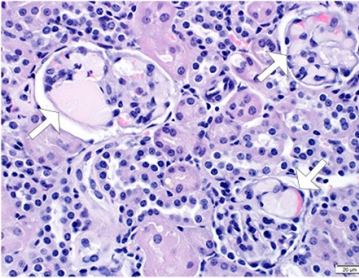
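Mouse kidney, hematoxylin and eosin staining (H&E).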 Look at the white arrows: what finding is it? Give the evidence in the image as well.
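The arrows point at round glomerular structures. The space around the tufts is widened. On this evidence: glomeruli proteinosis.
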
